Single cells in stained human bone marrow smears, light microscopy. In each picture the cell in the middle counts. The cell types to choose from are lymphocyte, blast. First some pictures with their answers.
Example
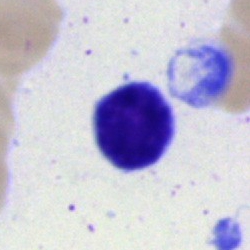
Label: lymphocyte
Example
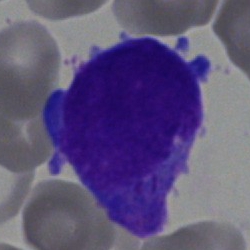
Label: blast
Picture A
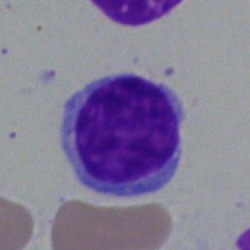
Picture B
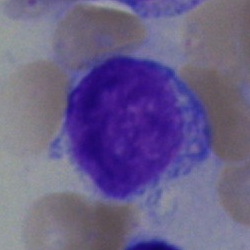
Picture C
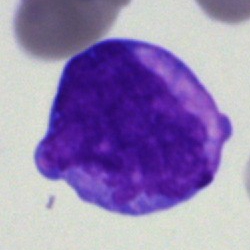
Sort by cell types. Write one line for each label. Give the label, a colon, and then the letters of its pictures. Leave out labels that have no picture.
lymphocyte: A
blast: B, C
